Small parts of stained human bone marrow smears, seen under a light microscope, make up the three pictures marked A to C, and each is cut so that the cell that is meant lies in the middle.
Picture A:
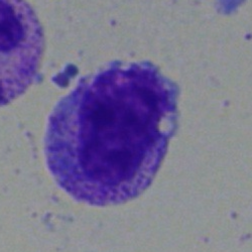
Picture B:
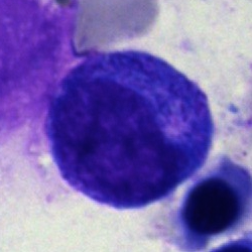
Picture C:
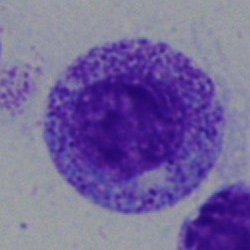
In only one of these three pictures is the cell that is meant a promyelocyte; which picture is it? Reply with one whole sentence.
Picture B is the one that shows the promyelocyte.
